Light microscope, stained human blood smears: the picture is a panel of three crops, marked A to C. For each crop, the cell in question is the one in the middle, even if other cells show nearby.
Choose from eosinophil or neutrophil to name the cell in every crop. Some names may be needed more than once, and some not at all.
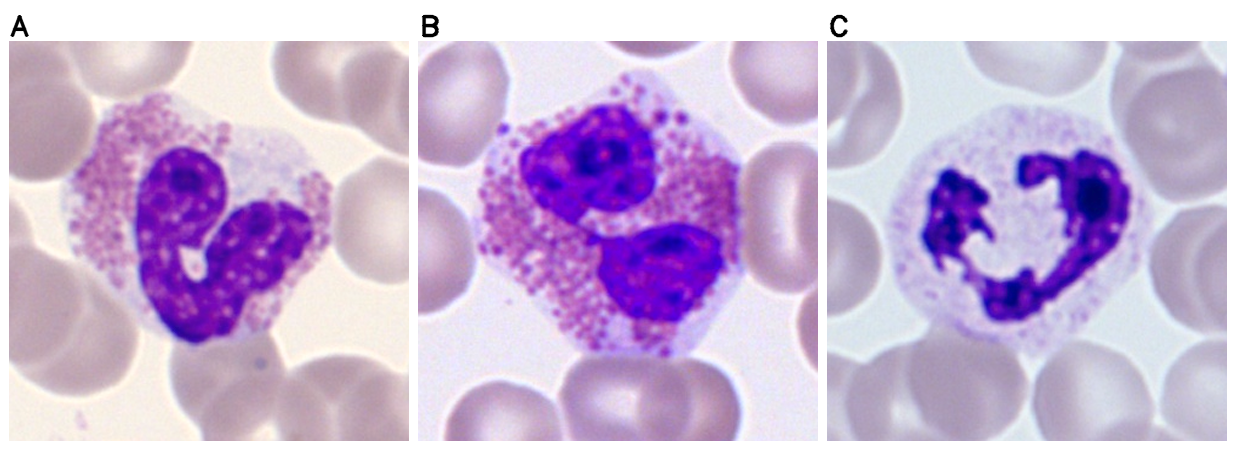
A: eosinophil
B: eosinophil
C: neutrophil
